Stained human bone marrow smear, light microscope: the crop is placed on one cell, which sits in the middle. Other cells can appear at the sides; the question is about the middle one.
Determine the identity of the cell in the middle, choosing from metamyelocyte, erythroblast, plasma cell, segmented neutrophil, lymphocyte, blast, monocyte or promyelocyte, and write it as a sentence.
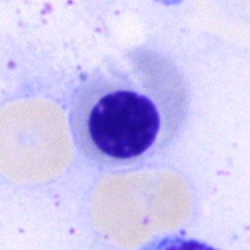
Seen at the centre of the crop is an erythroblast.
